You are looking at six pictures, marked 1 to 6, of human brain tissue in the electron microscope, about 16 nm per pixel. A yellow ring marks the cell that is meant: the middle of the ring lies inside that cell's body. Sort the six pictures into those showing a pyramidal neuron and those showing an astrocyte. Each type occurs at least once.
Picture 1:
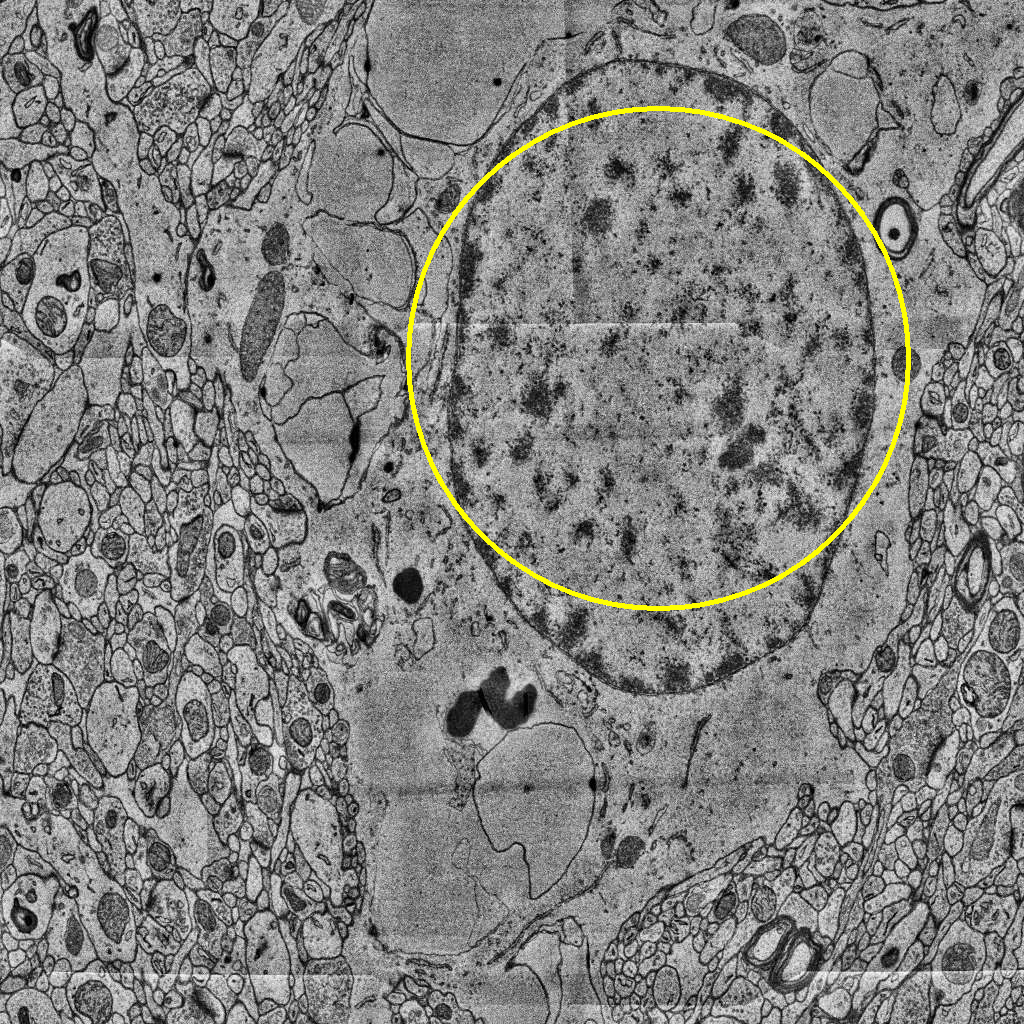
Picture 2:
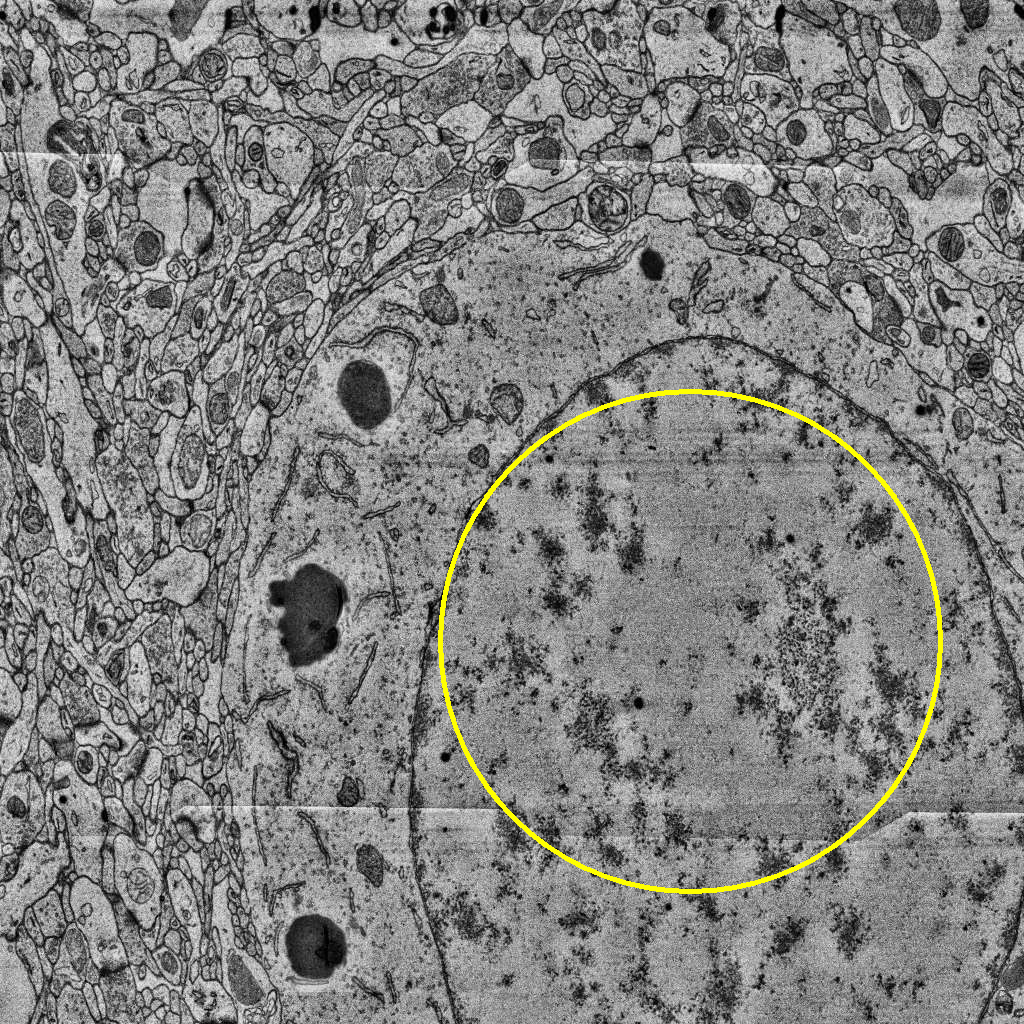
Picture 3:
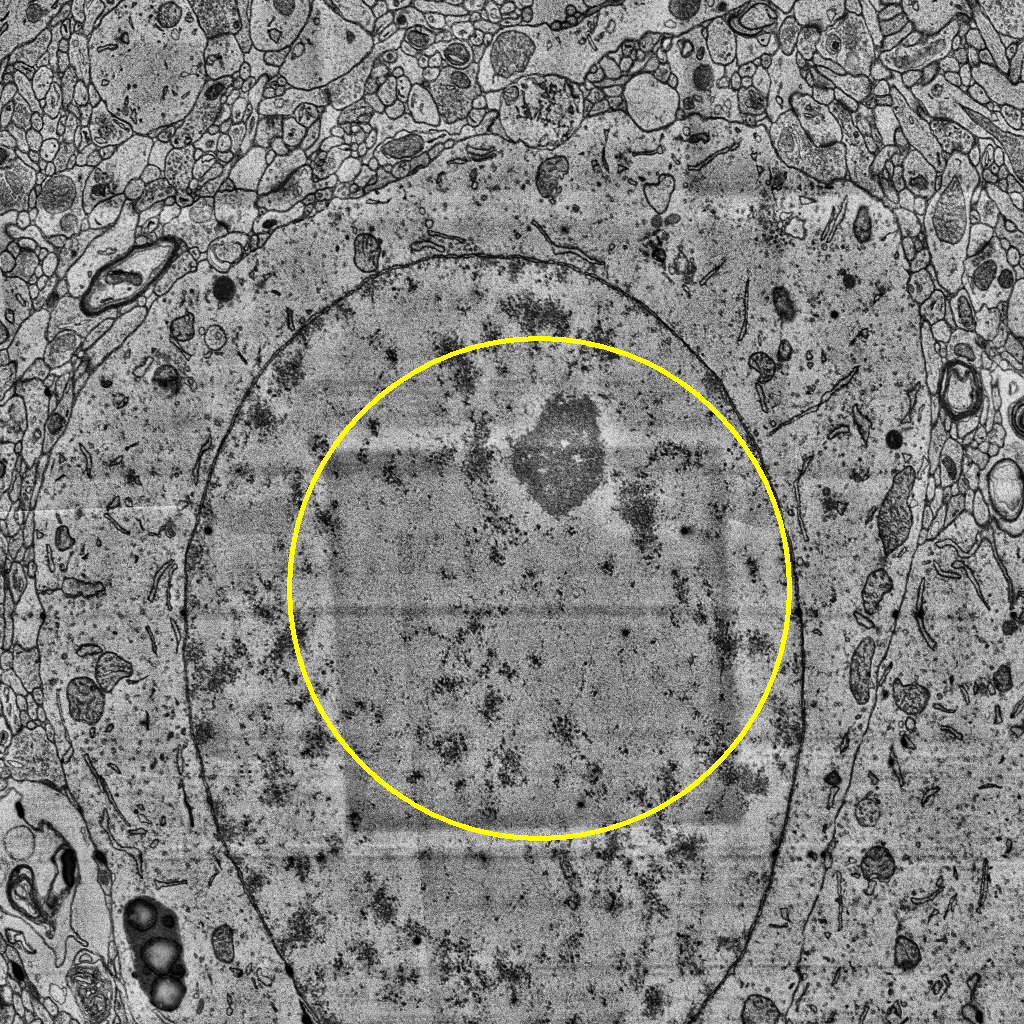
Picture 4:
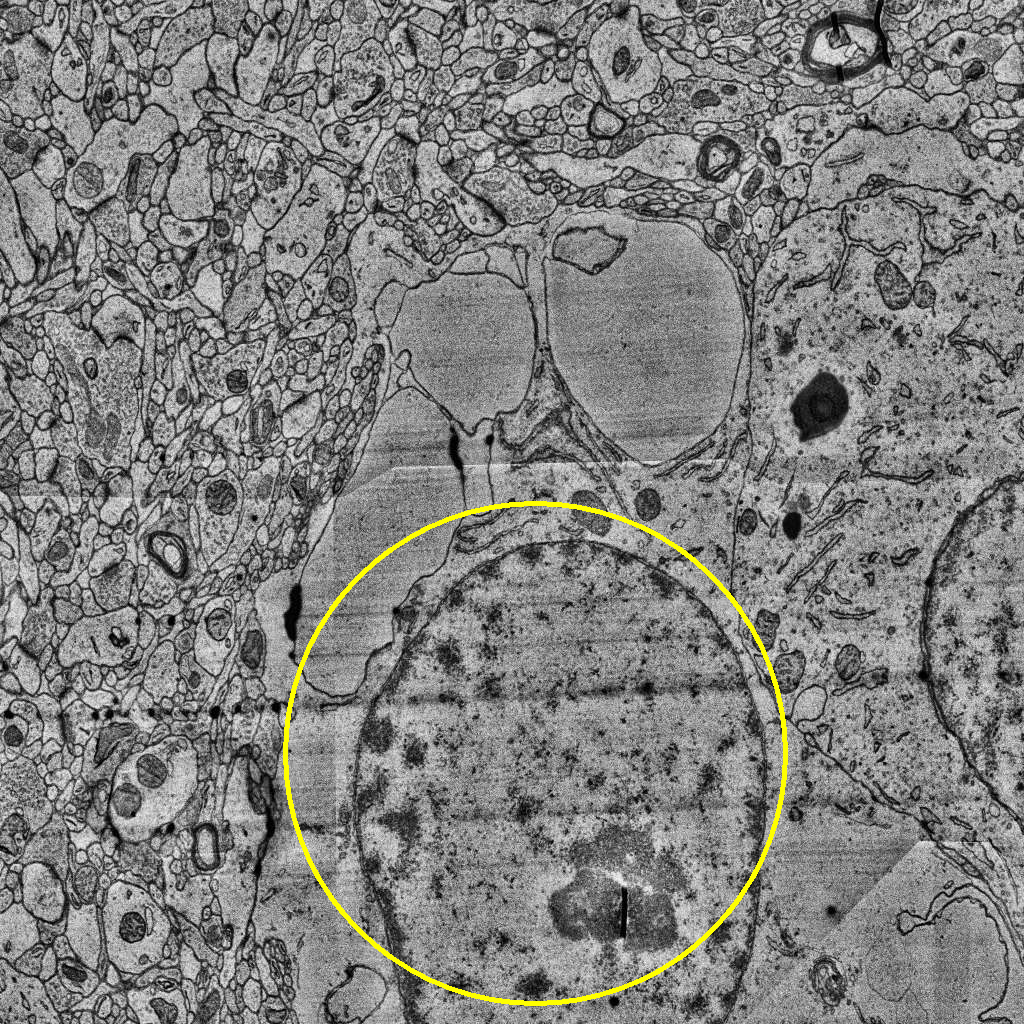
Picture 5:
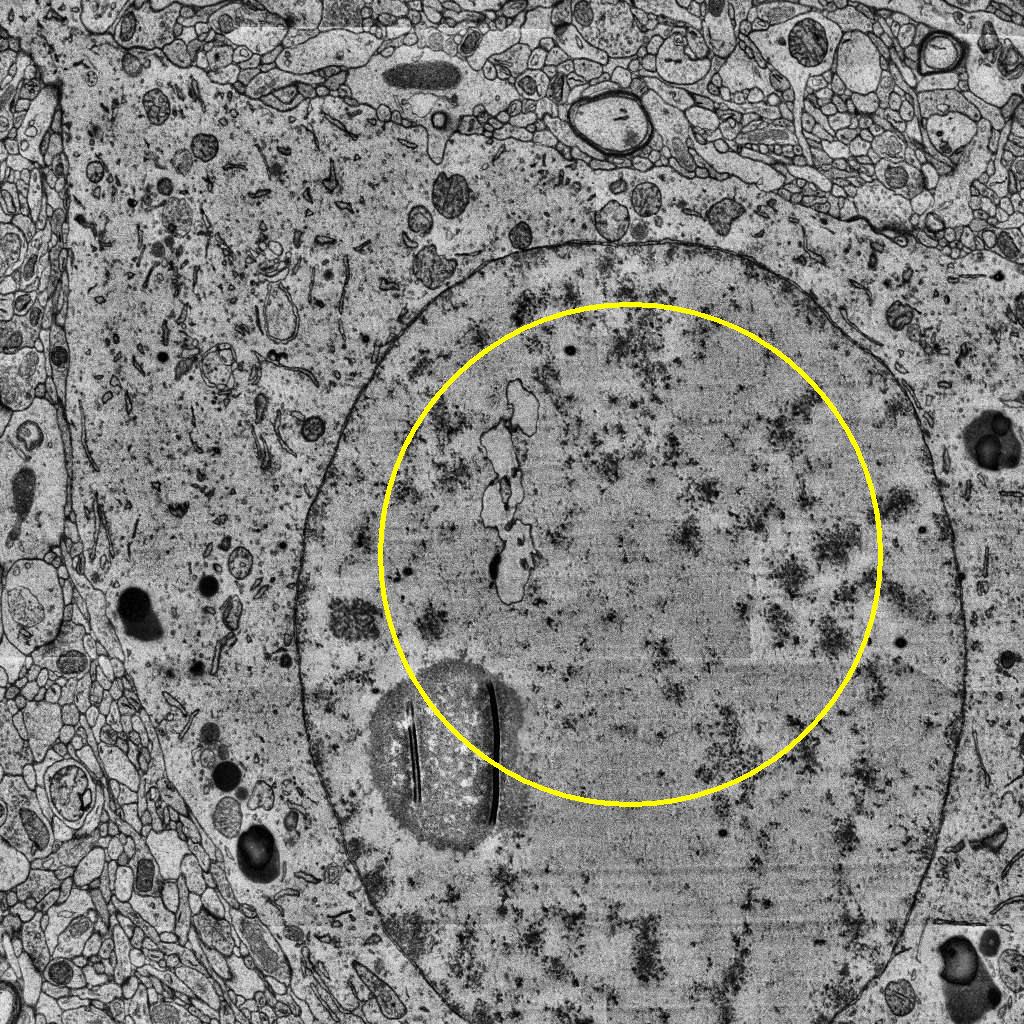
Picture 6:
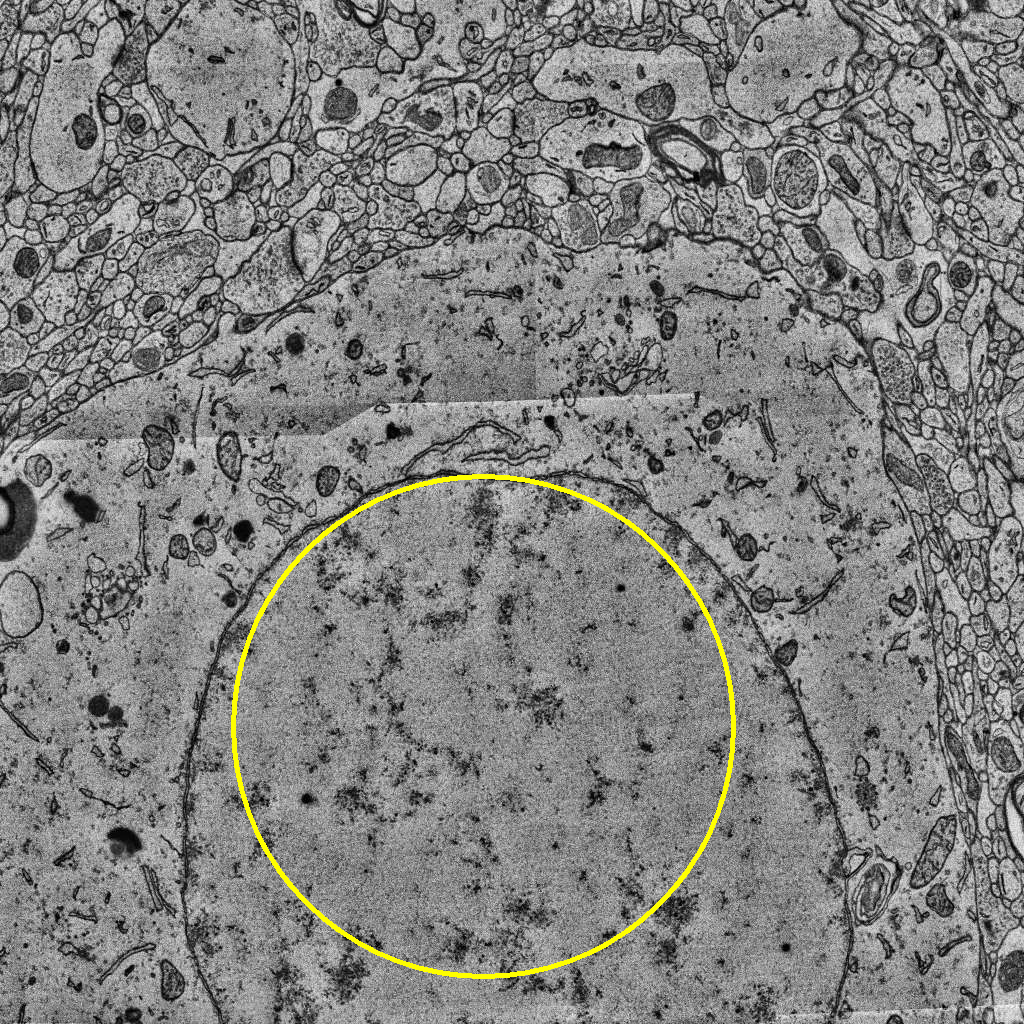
Pictures 2, 3, 5 and 6 show pyramidal neurons, and pictures 1 and 4 show astrocytes.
